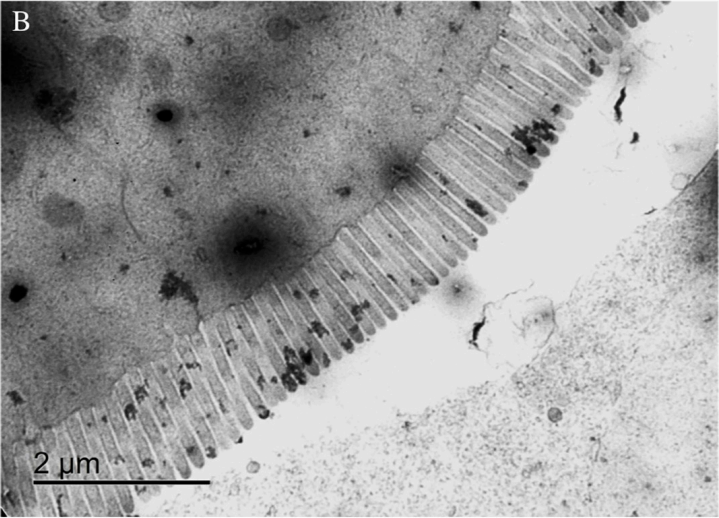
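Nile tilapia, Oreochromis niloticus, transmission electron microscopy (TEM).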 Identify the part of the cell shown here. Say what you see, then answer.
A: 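A regular row of thin, parallel, finger-like projections borders the cell. The projections point into a pale, empty-looking lumen. The row of projections runs diagonally across the image.
Microvilli.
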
